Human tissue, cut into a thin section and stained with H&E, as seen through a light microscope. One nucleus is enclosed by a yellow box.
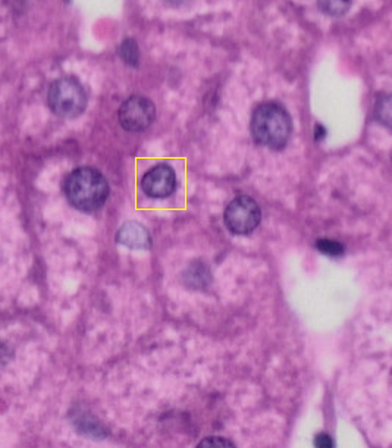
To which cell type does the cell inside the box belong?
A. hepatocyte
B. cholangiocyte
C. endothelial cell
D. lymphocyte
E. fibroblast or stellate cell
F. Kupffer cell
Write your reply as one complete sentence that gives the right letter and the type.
Option A holds, since the cell inside the box is a hepatocyte.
